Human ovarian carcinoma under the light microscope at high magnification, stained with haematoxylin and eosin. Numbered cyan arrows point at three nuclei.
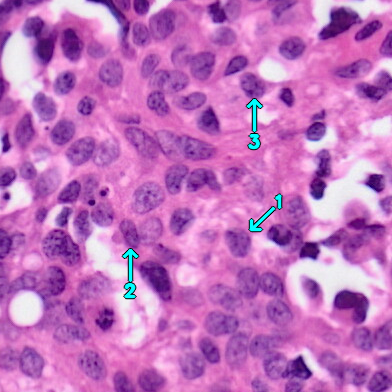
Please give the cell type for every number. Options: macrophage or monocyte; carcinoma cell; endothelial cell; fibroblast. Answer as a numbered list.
1. carcinoma cell
2. carcinoma cell
3. macrophage or monocyte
